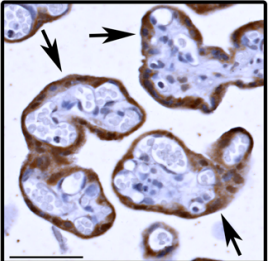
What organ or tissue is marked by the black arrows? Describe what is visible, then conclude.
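The arrows point at the thin outermost layer covering each rounded villus profile. This outer covering layer is stained brown, while the inner core is mostly blue. The outer layer is a thin rim bordering the empty space around the villi.
Answer: placental trophoblast cell layer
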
